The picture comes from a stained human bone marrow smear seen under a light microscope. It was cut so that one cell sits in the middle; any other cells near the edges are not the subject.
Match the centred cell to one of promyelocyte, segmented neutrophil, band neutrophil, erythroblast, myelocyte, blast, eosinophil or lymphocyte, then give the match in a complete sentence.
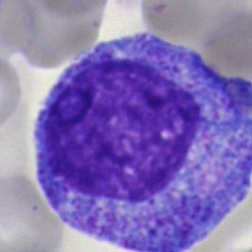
The cell under consideration, at the middle of the crop, is a promyelocyte.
